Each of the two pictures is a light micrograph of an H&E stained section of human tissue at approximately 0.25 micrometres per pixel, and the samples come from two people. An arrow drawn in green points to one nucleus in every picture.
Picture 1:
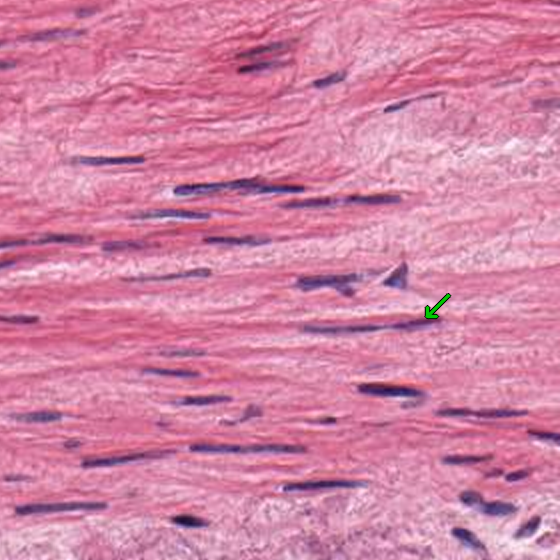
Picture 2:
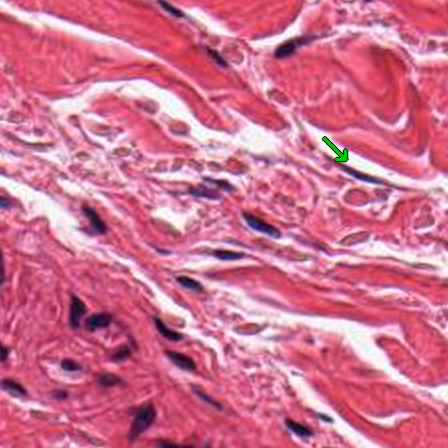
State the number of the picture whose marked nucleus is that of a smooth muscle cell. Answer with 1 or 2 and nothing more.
1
